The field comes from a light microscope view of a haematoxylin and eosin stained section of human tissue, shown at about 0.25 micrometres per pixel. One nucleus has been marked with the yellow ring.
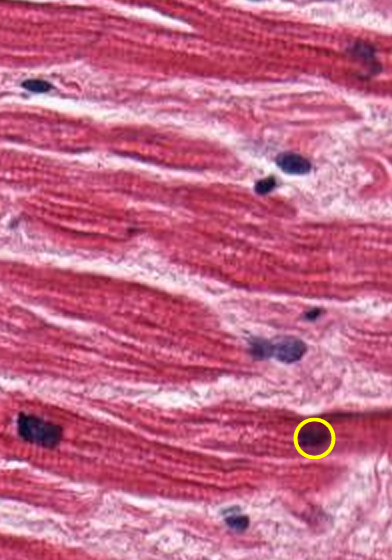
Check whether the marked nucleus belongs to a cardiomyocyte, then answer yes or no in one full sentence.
Yes, the marked nucleus belongs to a cardiomyocyte in this image.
